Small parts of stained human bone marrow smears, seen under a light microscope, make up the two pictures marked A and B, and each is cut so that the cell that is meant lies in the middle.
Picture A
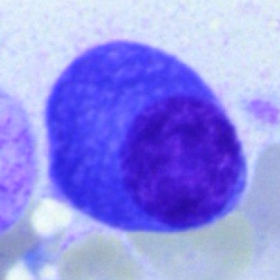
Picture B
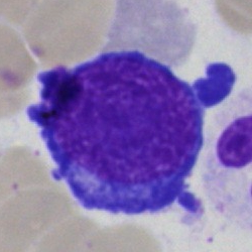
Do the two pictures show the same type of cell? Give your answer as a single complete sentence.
No; the cell in picture A is a plasma cell, while the one in picture B is a proerythroblast.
